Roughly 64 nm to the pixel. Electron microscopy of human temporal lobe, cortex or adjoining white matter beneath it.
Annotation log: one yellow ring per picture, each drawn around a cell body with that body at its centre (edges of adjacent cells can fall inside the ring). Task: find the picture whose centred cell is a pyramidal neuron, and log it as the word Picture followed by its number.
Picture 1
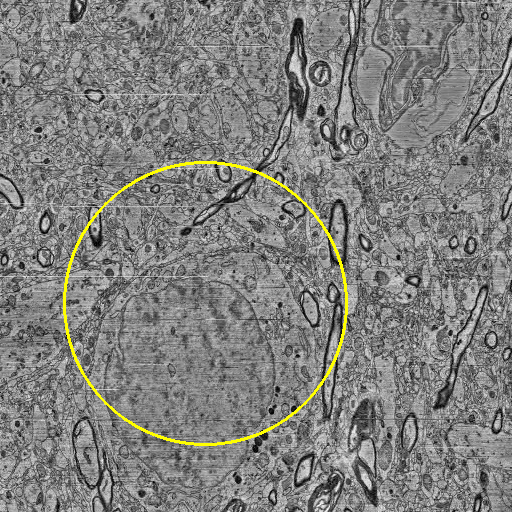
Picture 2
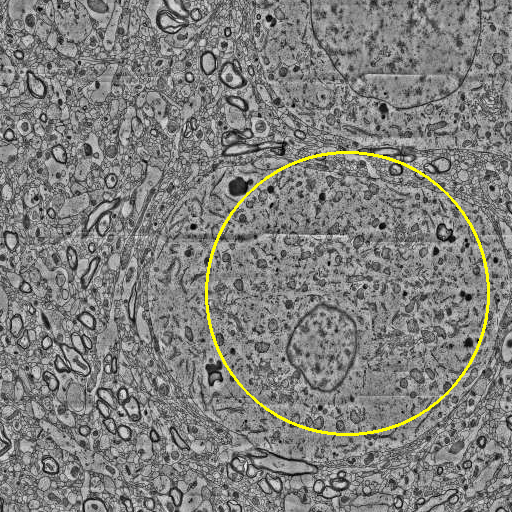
Picture 2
